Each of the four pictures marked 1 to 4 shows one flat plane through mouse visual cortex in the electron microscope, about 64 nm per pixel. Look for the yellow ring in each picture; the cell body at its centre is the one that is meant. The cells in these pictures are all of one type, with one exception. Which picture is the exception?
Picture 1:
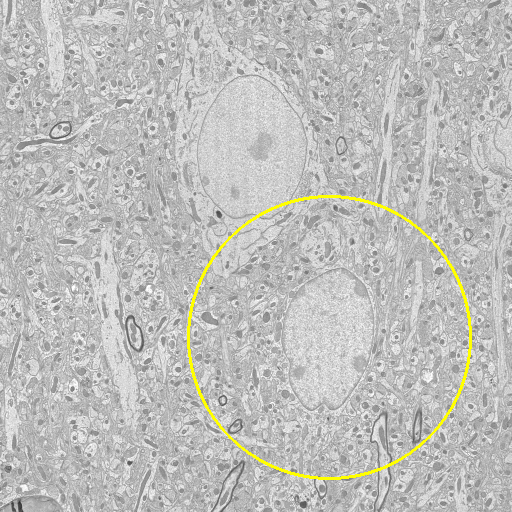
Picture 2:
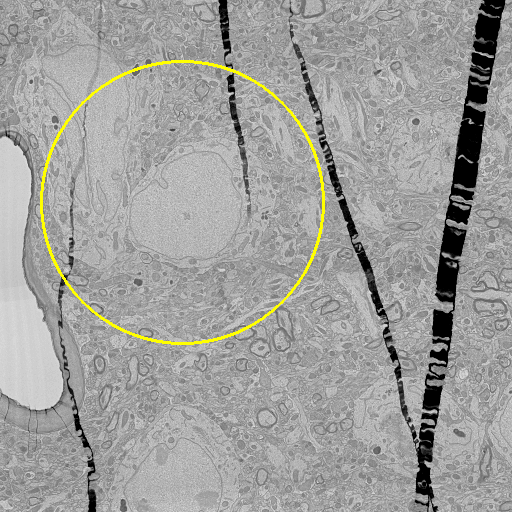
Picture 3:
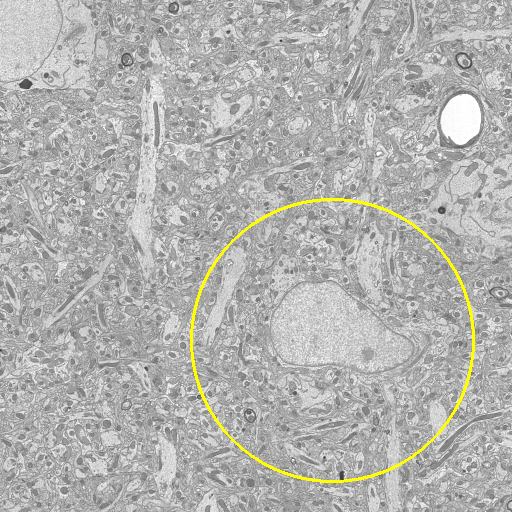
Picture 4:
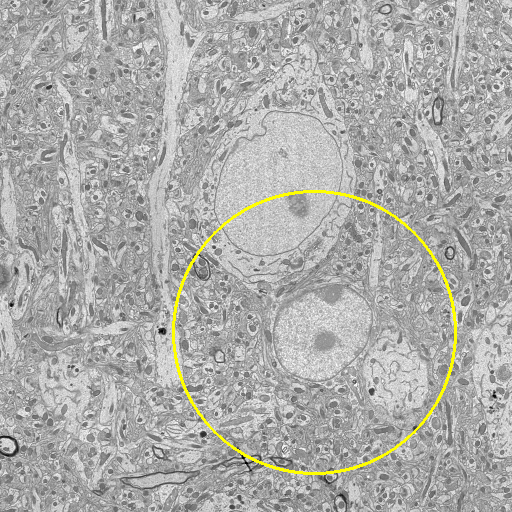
Picture 2 differs, because its cell is an excitatory neuron and the rest are astrocytes.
